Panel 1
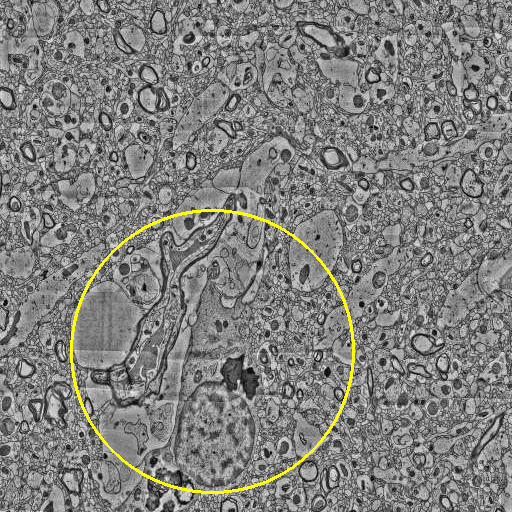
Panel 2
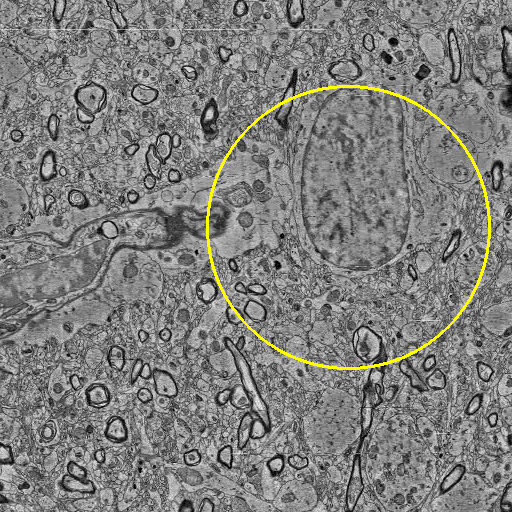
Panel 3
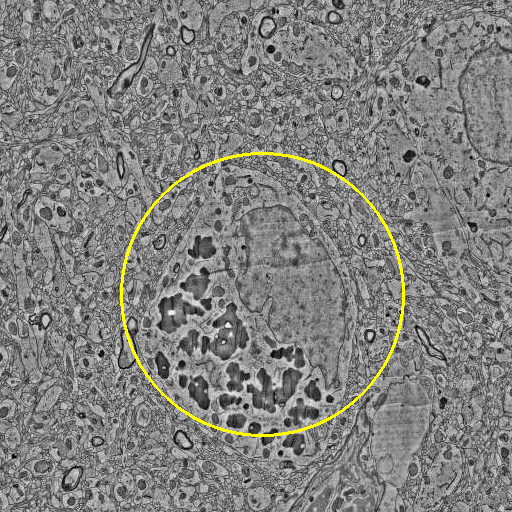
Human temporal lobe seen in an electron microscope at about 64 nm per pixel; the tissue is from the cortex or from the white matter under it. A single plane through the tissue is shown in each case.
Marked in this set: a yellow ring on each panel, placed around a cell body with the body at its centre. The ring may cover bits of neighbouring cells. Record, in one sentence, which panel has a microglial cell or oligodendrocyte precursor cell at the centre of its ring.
Panel 2 has it at the centre of its ring.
